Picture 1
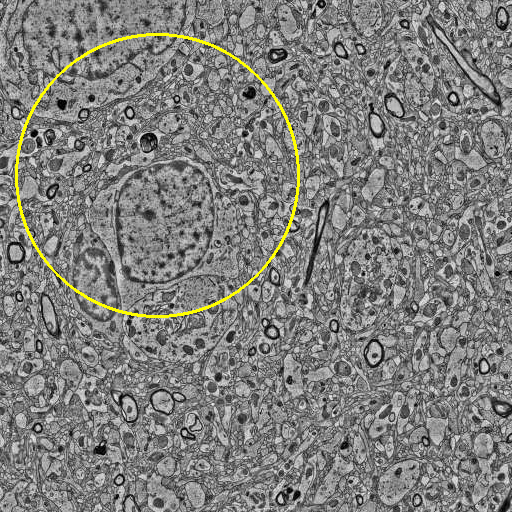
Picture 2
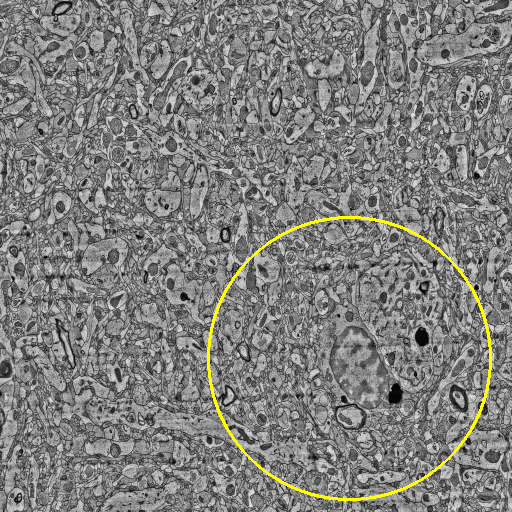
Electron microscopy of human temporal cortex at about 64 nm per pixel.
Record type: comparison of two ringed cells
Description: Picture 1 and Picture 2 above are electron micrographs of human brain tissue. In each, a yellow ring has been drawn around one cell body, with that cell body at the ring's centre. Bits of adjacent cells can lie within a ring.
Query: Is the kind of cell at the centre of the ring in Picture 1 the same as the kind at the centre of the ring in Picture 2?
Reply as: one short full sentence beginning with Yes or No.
No, the two ringed cells are of two separate kinds.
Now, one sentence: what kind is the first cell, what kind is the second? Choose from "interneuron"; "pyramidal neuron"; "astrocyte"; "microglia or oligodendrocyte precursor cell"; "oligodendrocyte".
The first picture has a microglial cell or oligodendrocyte precursor cell at its ring centre, and the second has an oligodendrocyte.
